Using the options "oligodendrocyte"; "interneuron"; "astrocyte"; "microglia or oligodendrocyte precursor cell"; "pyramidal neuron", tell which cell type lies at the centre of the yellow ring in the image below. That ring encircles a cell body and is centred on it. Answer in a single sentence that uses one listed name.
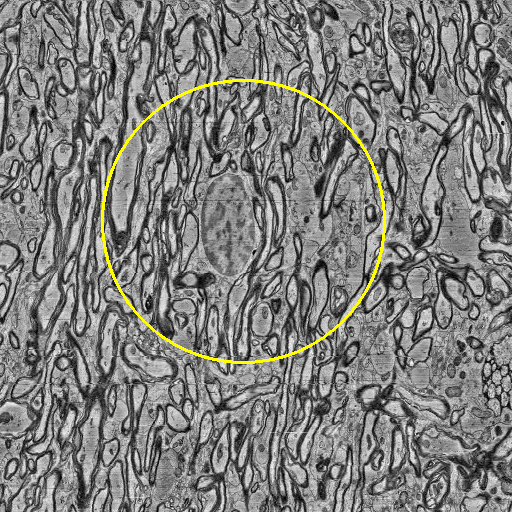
At the centre of the yellow ring lies the body of a microglial cell or oligodendrocyte precursor cell.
